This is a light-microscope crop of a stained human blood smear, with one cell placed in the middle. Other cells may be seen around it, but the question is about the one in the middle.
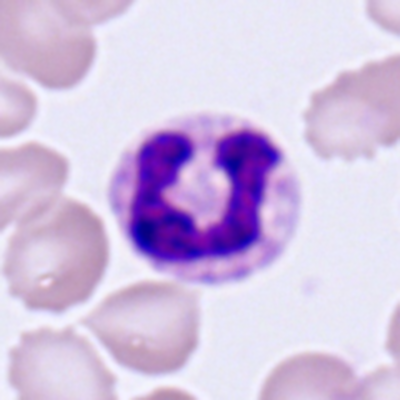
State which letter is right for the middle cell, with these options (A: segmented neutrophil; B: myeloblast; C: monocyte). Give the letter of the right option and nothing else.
A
